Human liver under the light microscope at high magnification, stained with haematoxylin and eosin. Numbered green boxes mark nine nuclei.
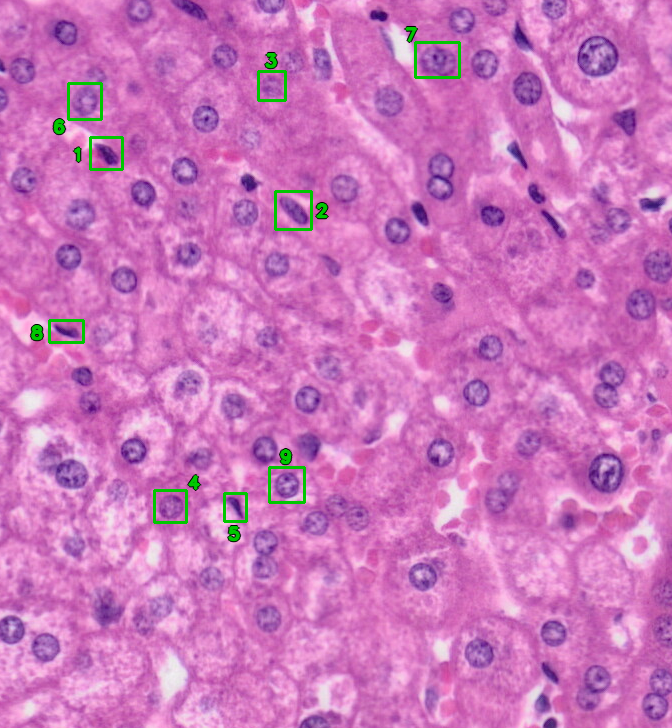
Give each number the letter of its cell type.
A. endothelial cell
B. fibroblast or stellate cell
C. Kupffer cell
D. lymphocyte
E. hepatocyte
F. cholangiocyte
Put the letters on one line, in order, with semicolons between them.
A; C; E; E; B; E; E; A; E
